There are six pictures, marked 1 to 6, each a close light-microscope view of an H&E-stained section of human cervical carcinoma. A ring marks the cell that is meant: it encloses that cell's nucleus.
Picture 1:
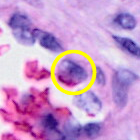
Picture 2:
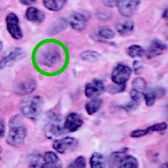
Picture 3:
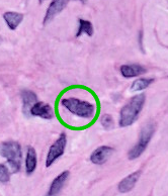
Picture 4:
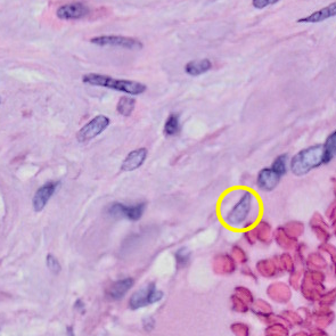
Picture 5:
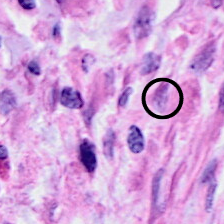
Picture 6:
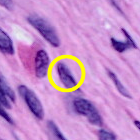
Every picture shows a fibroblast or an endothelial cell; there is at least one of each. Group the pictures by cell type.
1: endothelial cell
2: endothelial cell
3: fibroblast
4: endothelial cell
5: fibroblast
6: fibroblast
